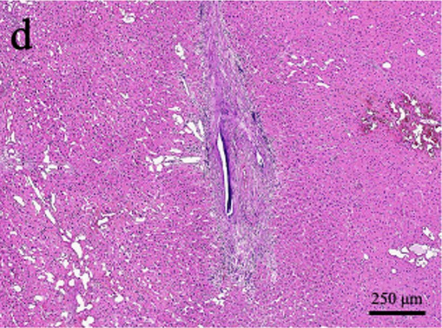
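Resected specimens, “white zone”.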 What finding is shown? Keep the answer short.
dilatation of the sinusoidal space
